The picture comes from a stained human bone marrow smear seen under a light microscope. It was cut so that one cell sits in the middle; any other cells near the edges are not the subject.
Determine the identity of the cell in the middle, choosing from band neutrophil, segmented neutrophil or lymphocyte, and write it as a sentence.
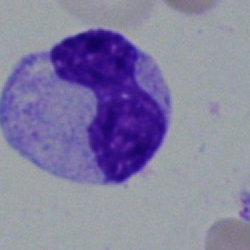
The cell that lies at the centre of the crop is a band neutrophil.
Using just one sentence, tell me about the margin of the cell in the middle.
Edge check done: smooth outline, no projections present.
